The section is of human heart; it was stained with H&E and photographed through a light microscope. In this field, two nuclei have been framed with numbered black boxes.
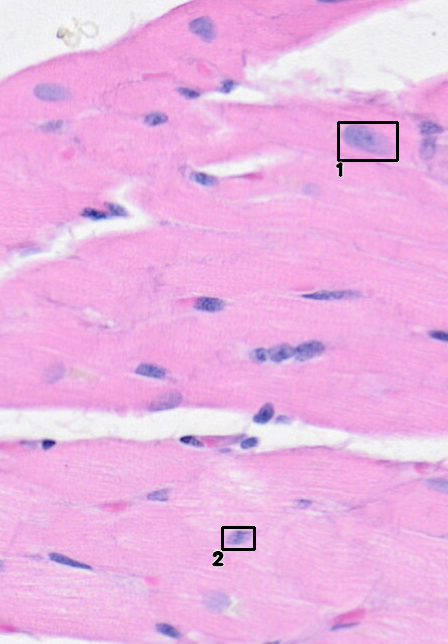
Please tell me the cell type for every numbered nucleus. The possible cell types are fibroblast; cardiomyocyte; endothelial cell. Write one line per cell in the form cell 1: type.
cell 1: cardiomyocyte
cell 2: endothelial cell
